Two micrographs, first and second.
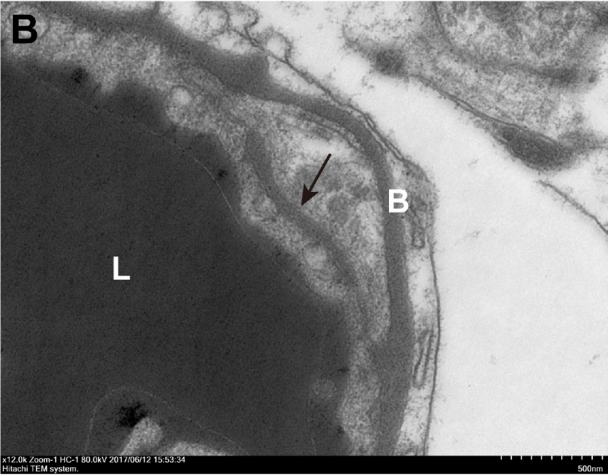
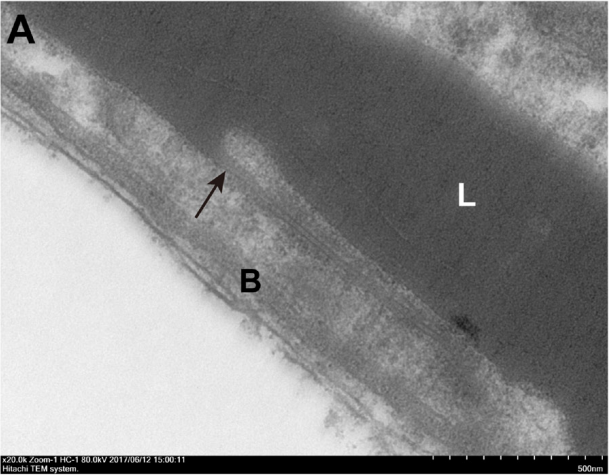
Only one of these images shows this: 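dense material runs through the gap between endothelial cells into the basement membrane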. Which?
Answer: the first image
